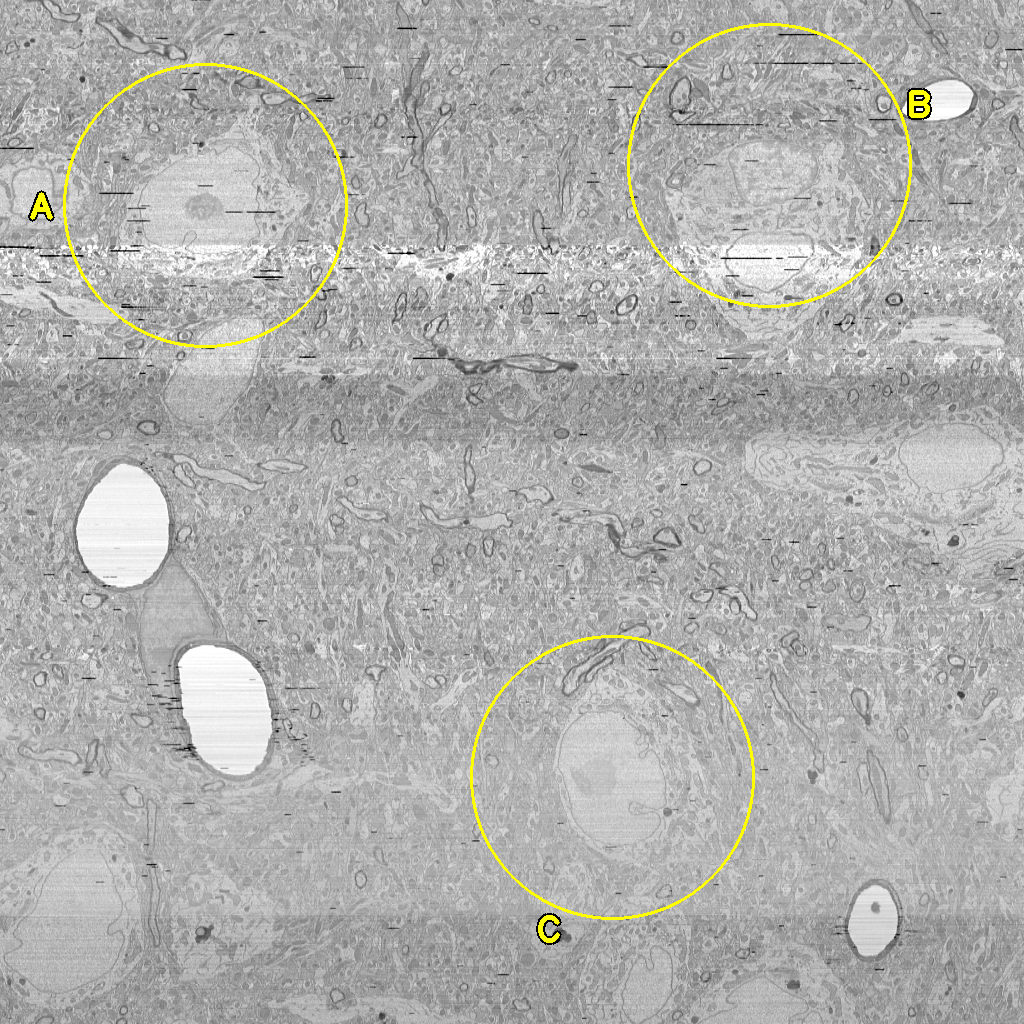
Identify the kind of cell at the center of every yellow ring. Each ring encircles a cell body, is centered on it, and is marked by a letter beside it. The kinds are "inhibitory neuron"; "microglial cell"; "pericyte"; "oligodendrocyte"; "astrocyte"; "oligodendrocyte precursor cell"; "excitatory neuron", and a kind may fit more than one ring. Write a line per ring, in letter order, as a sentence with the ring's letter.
The cell centered in ring A is an excitatory neuron.
The cell centered in ring B is an oligodendrocyte.
The cell centered in ring C is an inhibitory neuron.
